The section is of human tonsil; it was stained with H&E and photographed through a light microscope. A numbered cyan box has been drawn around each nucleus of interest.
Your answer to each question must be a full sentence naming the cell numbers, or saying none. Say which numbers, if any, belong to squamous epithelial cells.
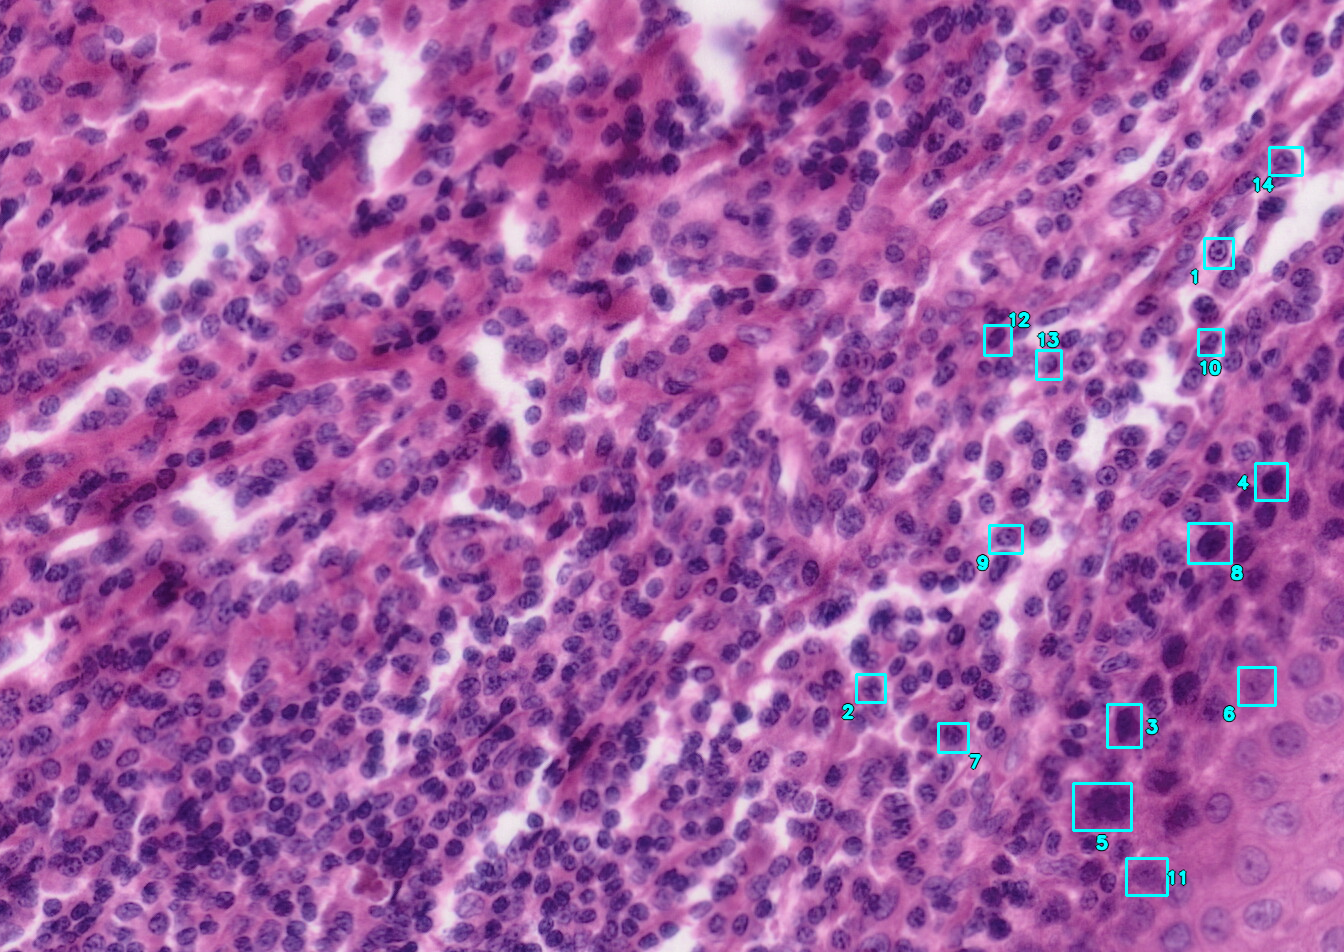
The cells numbered 3, 4, 5, 6, 8 and 11 are of one kind: squamous epithelial cells.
